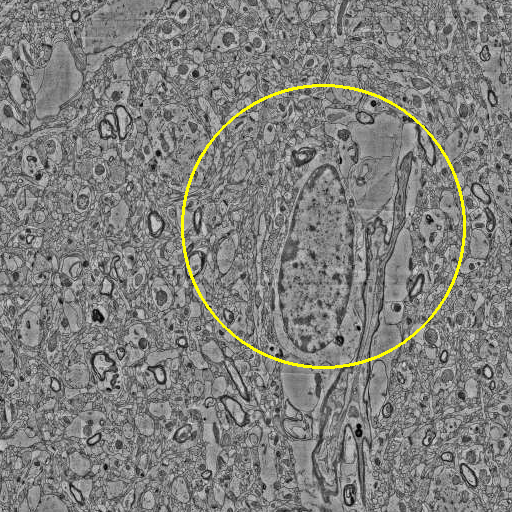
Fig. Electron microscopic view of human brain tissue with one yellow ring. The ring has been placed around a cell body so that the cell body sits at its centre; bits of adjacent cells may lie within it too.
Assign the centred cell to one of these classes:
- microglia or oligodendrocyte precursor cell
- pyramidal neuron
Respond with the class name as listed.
microglia or oligodendrocyte precursor cell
